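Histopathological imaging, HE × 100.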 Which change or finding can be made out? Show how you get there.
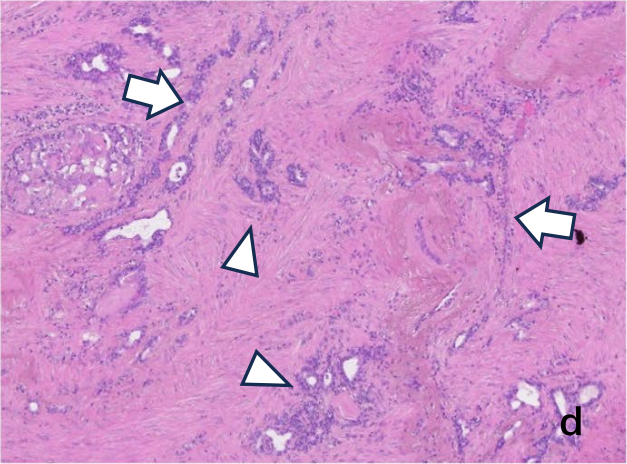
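Many small, irregular, crowded glands are scattered through pink fibromuscular stroma. Gland outlines are irregular, and some glands look fused or sieve-like. Small clusters and cords of dark-nucleated cells lie within the stroma. The answer: prostate acinar cell carcinoma.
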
